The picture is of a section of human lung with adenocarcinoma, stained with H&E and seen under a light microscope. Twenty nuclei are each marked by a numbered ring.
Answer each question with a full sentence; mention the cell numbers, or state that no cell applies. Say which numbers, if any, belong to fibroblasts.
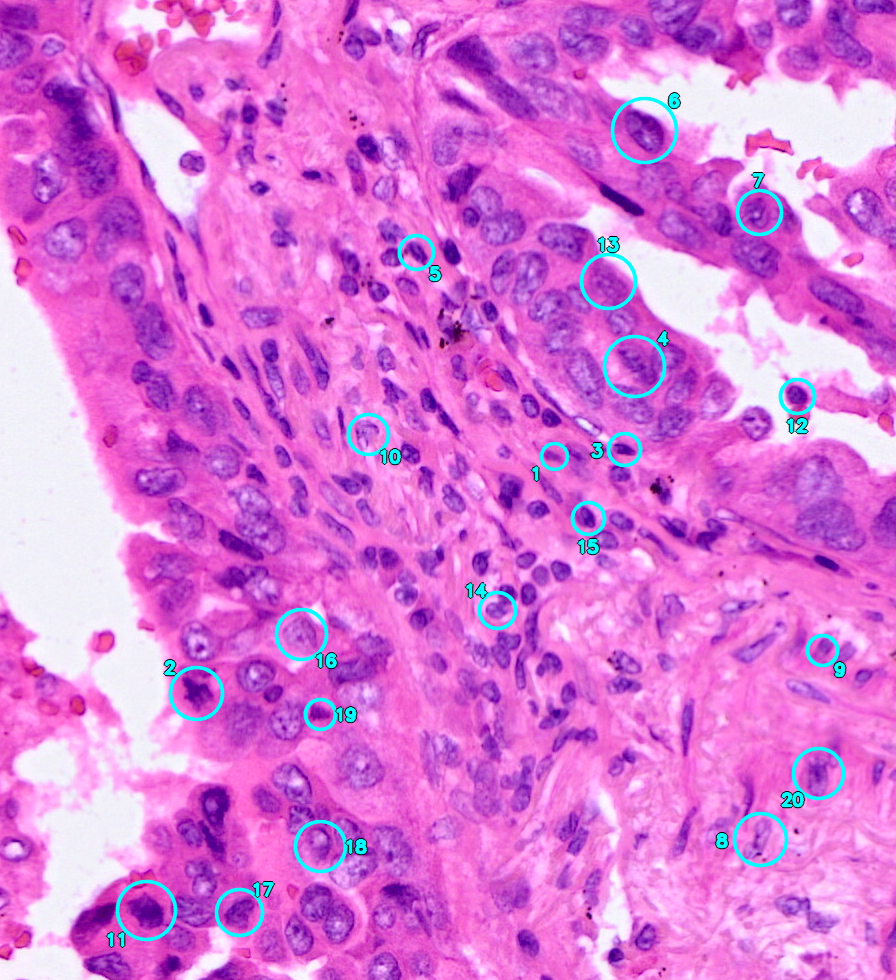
The cells to which the numbers 8 and 10 refer are fibroblasts.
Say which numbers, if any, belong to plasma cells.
Of the numbered nuclei, only the one labelled 1 belongs to a plasma cell.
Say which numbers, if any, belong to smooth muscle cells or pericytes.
In this section, the cells labelled 9 and 20 are smooth muscle cells or pericytes.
